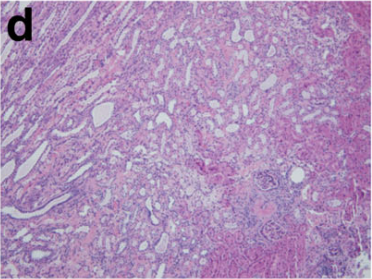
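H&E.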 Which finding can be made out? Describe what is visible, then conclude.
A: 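Many tubules have wide, empty, rounded or elongated lumens. Dilated tubules are scattered among ordinary tubules and glomeruli. The answer: tubular dilatation.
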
